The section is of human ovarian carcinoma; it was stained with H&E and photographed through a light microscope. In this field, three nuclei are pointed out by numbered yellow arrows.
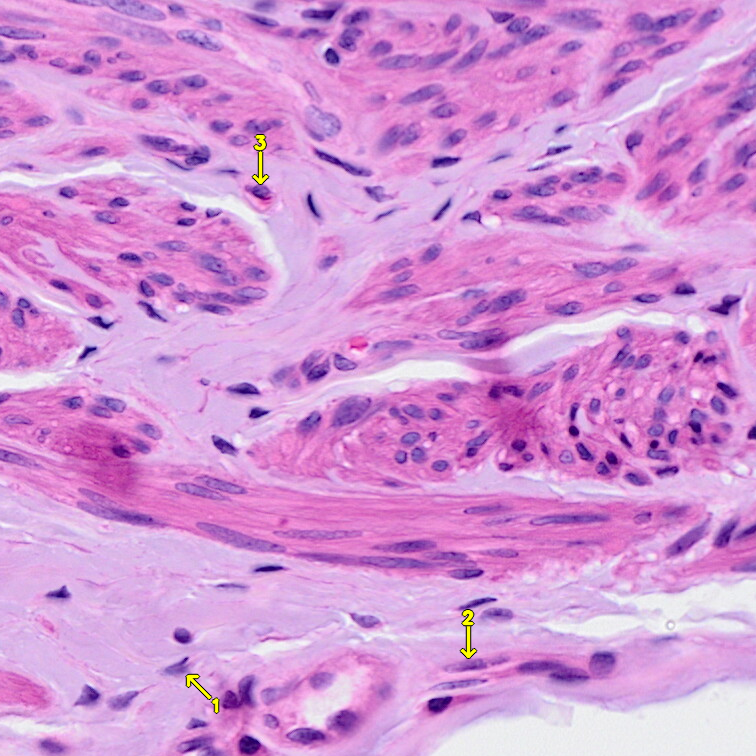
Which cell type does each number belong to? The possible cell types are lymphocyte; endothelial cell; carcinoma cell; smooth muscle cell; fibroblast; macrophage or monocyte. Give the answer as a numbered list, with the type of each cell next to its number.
1. fibroblast
2. endothelial cell
3. endothelial cell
